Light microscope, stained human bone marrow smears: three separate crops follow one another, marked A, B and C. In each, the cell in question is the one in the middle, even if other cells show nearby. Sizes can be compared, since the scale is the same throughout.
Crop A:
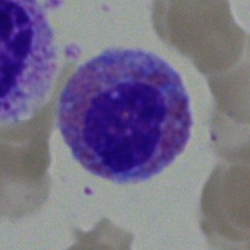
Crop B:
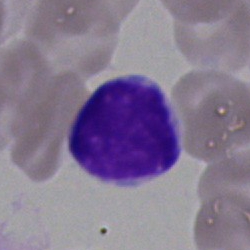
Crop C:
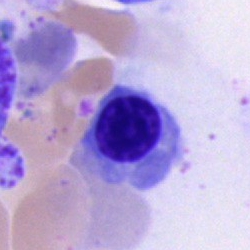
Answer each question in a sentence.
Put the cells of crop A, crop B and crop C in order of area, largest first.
Going down, they run A, B, C.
